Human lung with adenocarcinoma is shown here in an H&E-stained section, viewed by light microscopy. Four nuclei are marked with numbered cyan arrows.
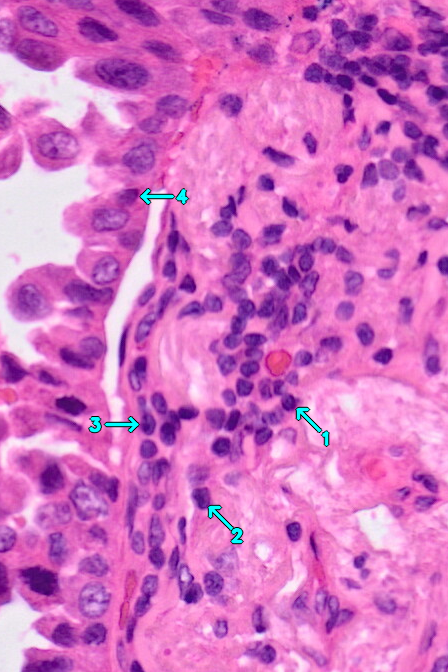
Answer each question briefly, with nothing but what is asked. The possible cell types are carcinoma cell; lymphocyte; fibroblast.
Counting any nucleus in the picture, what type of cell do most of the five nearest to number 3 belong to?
lymphocyte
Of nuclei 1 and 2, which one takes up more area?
2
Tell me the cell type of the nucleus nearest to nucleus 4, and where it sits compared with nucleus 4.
a carcinoma cell below and to the left of nucleus 4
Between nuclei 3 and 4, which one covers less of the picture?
3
